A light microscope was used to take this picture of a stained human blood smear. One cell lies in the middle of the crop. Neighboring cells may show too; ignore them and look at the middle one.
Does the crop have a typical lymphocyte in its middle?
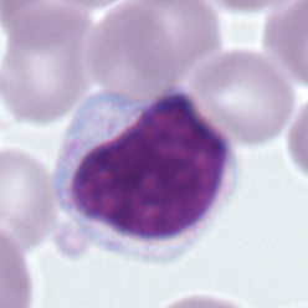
no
